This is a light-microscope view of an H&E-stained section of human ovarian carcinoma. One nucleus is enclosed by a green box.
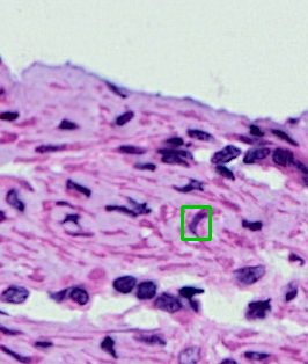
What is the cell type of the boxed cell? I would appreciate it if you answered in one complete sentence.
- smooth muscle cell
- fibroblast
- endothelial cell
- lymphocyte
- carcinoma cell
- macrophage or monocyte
Cell type answer for this item: the boxed cell is a fibroblast.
